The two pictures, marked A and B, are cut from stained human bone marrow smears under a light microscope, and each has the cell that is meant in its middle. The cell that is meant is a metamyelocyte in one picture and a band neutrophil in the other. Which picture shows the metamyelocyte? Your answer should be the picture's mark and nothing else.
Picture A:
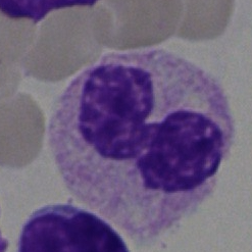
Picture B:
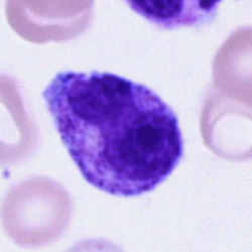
B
